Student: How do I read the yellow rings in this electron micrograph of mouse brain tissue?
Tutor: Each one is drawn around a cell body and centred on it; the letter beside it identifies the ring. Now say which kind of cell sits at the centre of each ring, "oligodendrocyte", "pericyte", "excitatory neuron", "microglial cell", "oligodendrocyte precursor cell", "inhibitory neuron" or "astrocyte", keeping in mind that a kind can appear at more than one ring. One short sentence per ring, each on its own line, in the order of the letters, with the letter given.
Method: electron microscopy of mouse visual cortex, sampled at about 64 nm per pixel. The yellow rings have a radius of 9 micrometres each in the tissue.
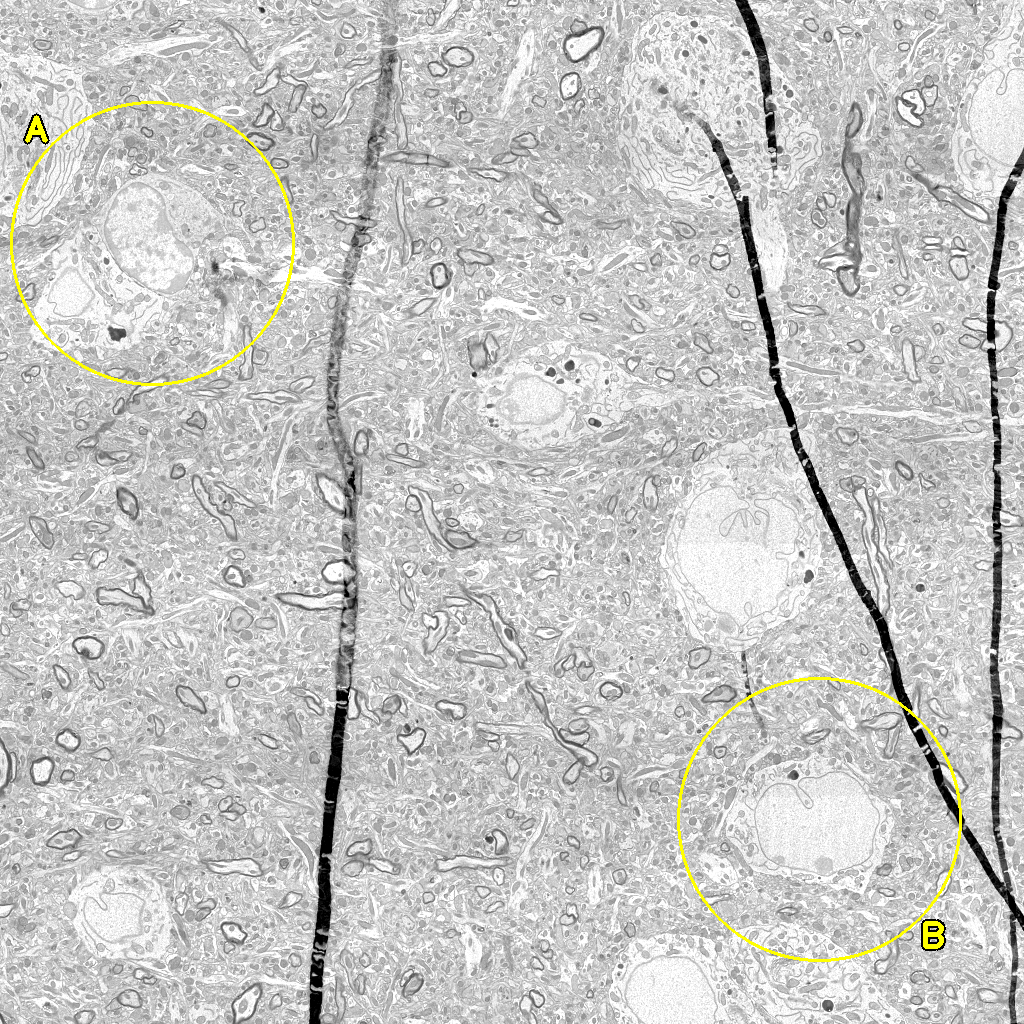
In the centre of ring A is an oligodendrocyte.
In the centre of ring B is an excitatory neuron.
